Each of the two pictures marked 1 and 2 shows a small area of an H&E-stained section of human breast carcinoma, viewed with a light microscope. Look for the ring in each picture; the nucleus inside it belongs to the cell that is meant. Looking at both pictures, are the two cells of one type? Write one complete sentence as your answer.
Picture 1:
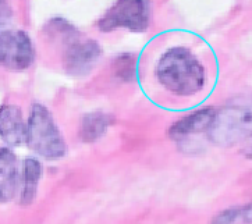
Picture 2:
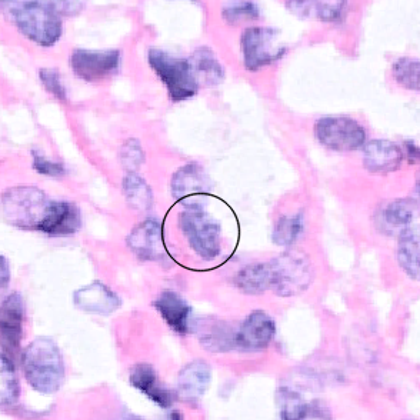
Yes, the two pictures both show carcinoma cells.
